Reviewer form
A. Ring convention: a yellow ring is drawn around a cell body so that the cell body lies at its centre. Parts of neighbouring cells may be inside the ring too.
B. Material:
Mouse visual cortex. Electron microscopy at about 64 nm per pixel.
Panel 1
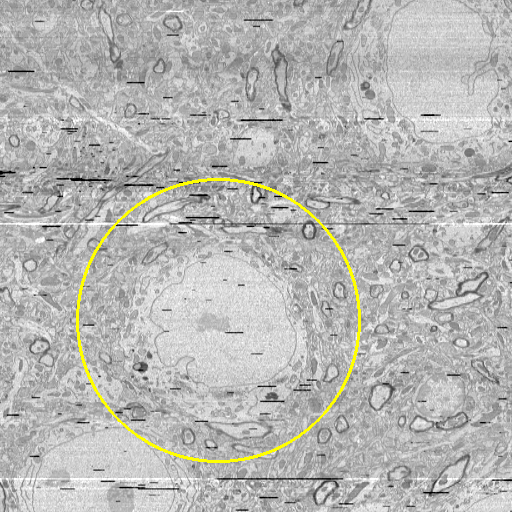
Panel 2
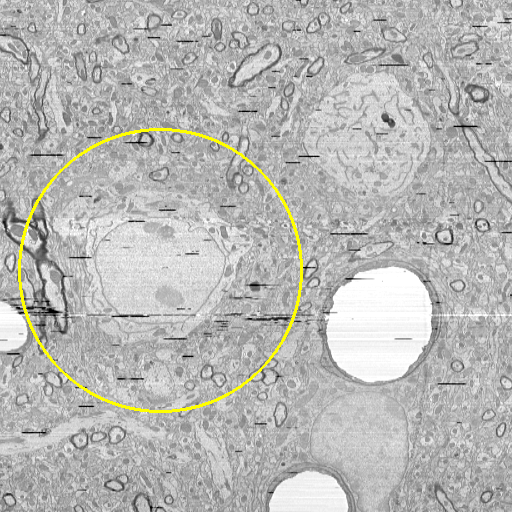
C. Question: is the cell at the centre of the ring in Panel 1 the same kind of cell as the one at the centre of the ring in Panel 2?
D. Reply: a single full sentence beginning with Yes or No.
Yes, the cells in Panel 1 and Panel 2 are the same kind of cell.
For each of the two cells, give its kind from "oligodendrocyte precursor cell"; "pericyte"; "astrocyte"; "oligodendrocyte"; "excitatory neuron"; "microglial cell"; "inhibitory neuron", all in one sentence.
Each of the two cells is an excitatory neuron.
